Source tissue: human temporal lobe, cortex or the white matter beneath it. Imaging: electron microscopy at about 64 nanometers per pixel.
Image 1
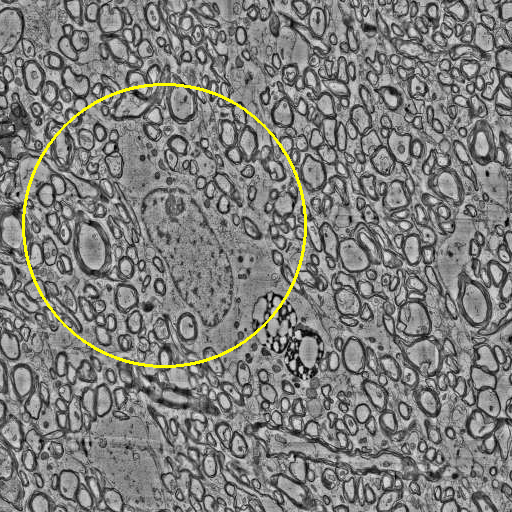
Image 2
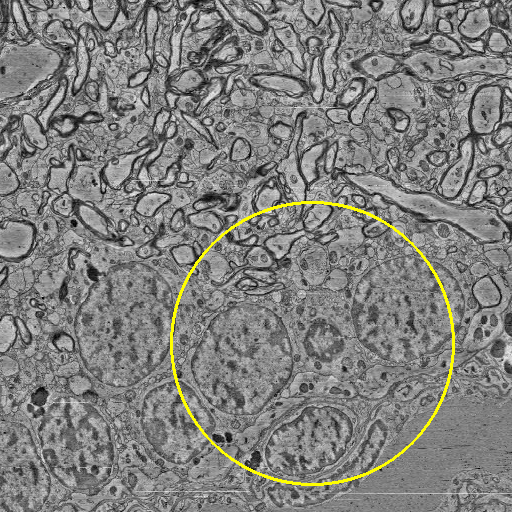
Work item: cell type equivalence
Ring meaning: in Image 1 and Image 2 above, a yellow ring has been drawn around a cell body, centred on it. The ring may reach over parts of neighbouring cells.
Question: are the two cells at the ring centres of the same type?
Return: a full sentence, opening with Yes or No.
No, the two centred cells are of two types.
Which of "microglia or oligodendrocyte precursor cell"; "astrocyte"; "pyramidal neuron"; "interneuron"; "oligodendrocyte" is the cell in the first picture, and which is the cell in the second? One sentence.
The two differ: the first cell is an astrocyte and the second is an oligodendrocyte.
